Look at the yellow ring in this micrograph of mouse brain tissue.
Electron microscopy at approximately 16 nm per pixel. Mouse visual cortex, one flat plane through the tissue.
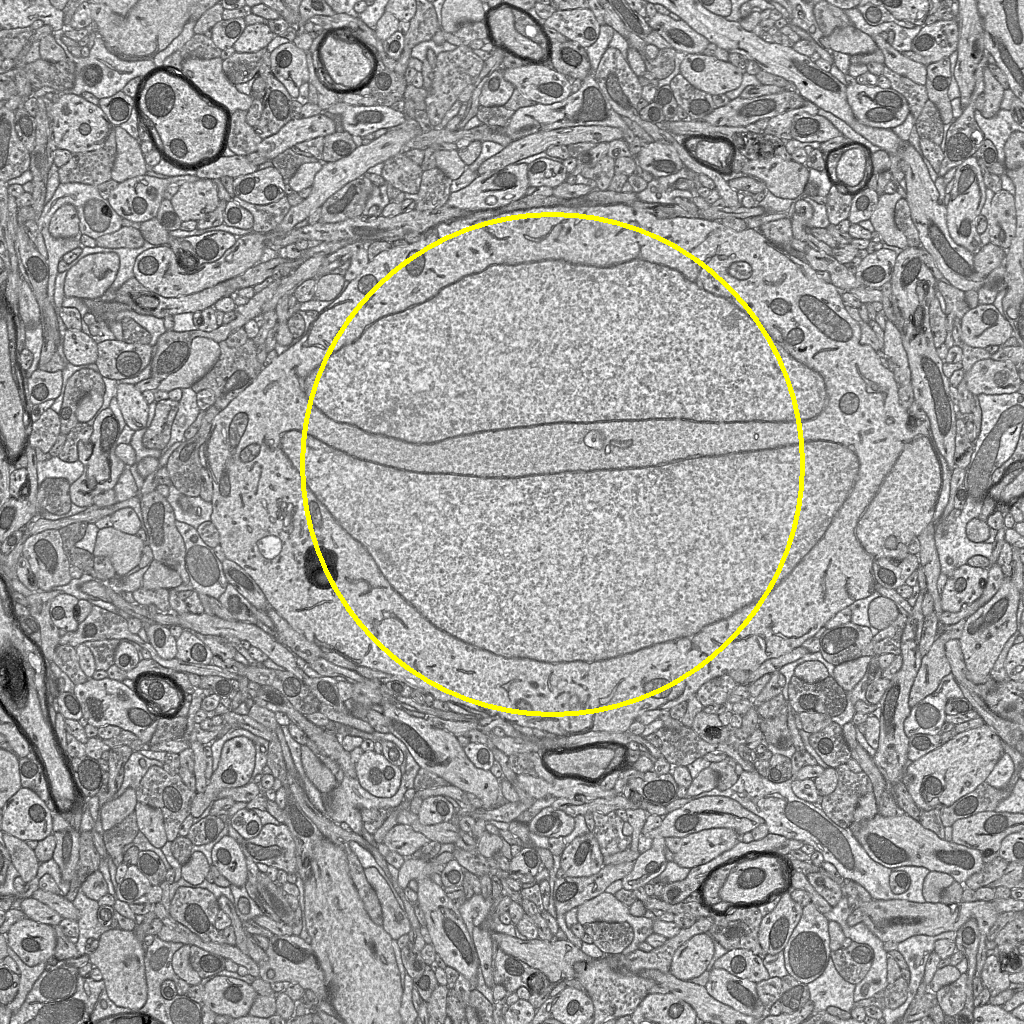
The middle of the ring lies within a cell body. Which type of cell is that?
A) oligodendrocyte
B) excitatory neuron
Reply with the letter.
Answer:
B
